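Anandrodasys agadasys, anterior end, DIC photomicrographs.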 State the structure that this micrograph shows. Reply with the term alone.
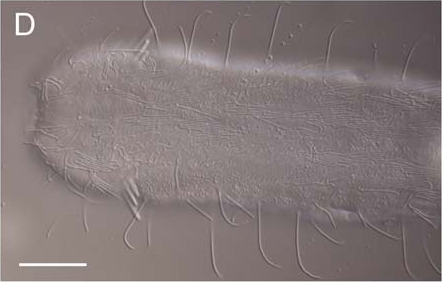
sensorial cilia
